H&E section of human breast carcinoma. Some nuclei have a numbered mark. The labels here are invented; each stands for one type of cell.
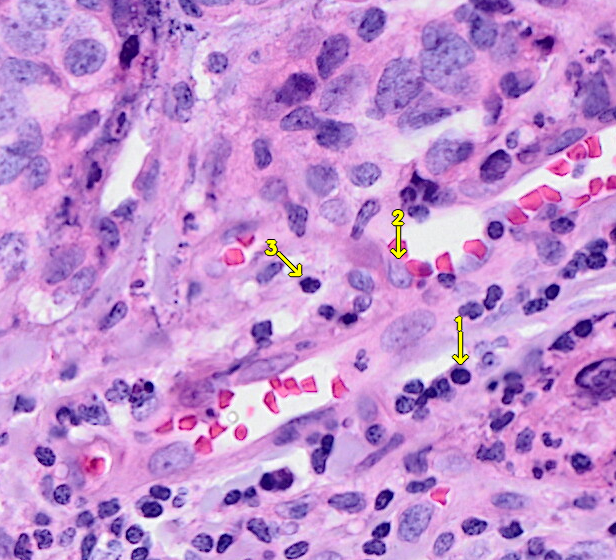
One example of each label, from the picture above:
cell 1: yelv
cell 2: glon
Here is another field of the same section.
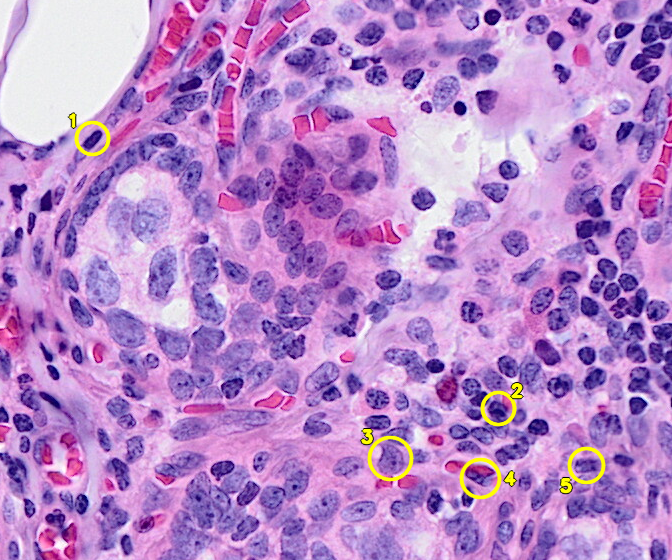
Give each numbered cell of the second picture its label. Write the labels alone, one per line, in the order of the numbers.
yelv
yelv
glon
glon
yelv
